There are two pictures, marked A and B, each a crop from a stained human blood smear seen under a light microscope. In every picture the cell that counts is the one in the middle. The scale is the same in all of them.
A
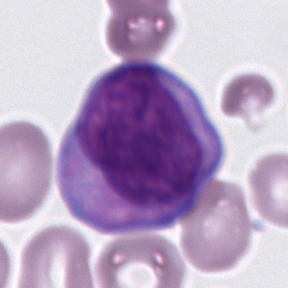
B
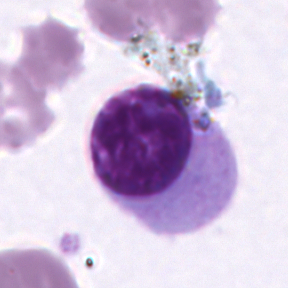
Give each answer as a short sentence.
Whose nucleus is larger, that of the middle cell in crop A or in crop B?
The nucleus in crop A is larger, with about 1.5 times the area of the one in crop B.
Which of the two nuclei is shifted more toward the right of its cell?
The nucleus in crop A lies further toward the right of its cell.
